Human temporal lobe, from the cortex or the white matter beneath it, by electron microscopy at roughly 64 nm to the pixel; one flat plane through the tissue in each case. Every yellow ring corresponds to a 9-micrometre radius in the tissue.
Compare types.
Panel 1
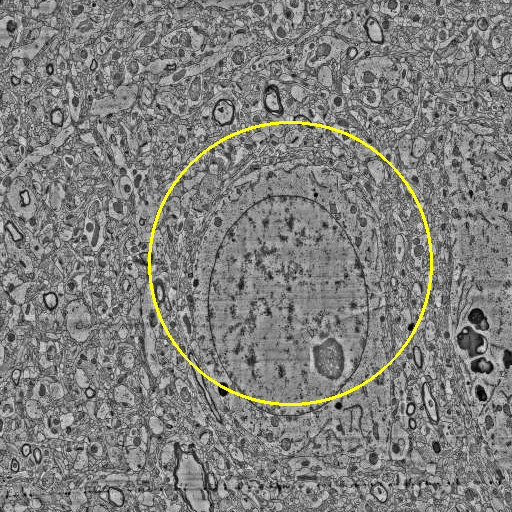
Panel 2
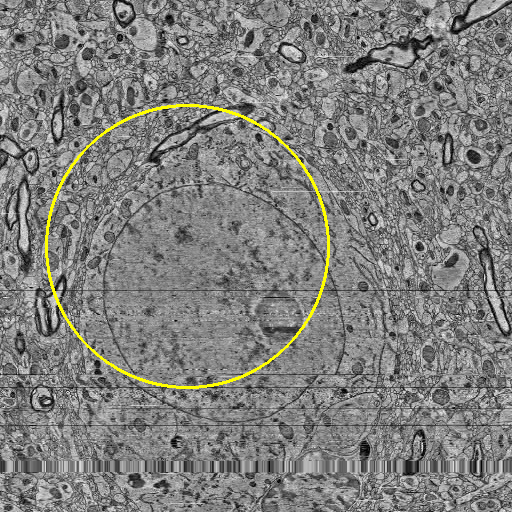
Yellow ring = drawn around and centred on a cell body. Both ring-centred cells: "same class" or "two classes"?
same class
